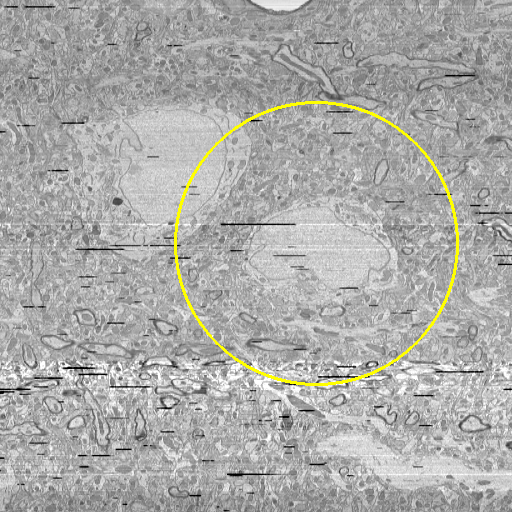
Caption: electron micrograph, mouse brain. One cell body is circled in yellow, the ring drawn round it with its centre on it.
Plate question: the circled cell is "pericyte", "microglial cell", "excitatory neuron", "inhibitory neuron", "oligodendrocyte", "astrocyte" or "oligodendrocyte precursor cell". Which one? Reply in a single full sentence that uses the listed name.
The yellow ring on the plate is centred on an inhibitory neuron, going by the listed names.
